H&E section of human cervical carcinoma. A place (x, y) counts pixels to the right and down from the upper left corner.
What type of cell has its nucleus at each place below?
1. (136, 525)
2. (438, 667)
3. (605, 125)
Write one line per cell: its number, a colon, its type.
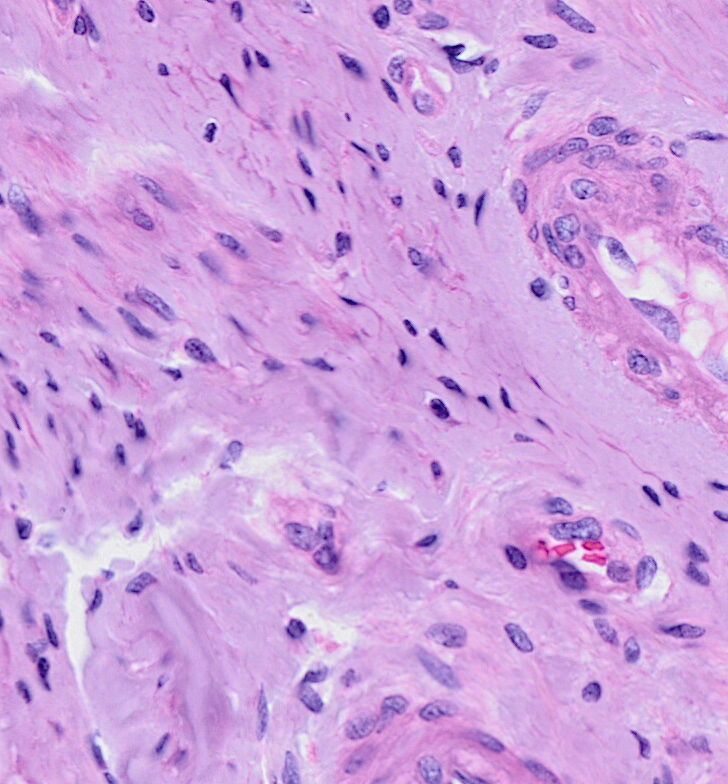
1: fibroblast
2: fibroblast
3: smooth muscle cell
